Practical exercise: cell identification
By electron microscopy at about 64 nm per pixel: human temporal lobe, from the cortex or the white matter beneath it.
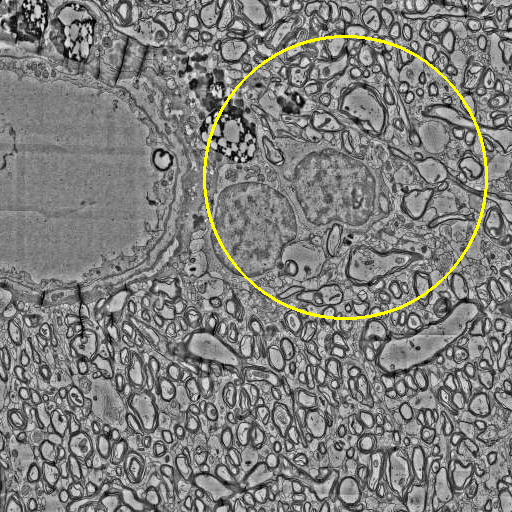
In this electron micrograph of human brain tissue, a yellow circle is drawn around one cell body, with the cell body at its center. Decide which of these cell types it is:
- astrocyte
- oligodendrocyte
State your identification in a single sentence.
The ringed cell is an oligodendrocyte.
